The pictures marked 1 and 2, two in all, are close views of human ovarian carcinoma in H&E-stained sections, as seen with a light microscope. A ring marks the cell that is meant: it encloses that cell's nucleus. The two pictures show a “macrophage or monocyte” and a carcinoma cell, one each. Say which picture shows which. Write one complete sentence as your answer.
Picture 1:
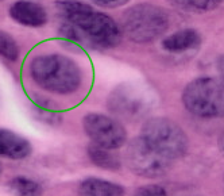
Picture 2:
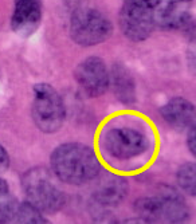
Picture 1 is of a carcinoma cell, and picture 2 is of a “macrophage or monocyte”.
